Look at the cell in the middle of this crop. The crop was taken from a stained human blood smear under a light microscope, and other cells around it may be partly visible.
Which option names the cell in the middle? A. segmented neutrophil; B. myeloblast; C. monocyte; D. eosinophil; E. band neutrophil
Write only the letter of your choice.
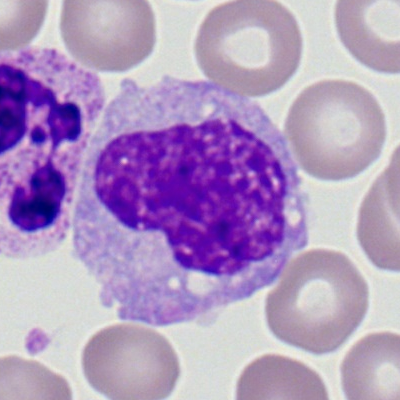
C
